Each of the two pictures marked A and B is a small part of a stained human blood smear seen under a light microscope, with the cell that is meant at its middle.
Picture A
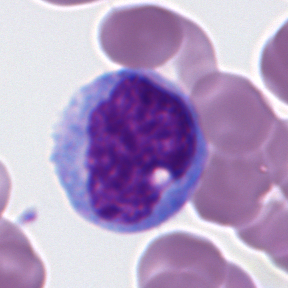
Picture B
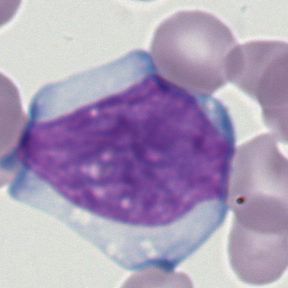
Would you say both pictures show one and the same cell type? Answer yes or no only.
no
